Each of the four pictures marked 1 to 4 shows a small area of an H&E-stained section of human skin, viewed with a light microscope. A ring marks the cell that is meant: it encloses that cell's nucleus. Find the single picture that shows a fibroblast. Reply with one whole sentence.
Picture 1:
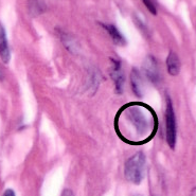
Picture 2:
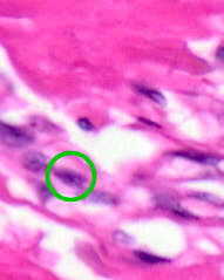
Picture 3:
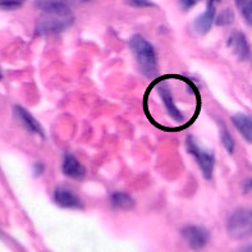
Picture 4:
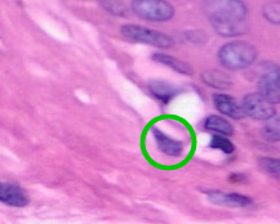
Picture 4 is the one that shows the fibroblast.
